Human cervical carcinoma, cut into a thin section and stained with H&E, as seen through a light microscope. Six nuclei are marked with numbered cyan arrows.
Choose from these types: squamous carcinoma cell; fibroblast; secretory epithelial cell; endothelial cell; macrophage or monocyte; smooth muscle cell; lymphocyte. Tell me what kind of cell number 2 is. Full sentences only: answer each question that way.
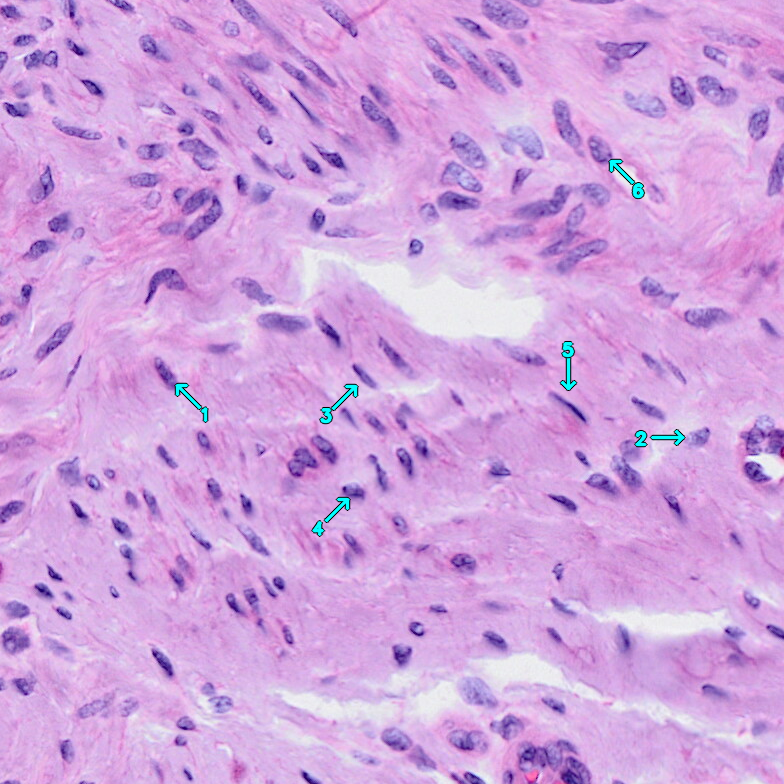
It is as a fibroblast that the cell numbered 2 is identified.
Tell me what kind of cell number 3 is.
Among the marked cells, number 3 is a fibroblast.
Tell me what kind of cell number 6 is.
Among the marked cells, number 6 is an endothelial cell.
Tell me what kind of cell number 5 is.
Of the numbered cells, the one labelled 5 is a fibroblast.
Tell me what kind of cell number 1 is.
As for number 1, that cell is a smooth muscle cell.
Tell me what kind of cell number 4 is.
Denoted by the label 4 in the section is a fibroblast.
